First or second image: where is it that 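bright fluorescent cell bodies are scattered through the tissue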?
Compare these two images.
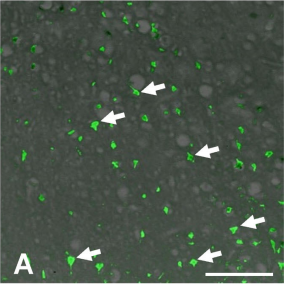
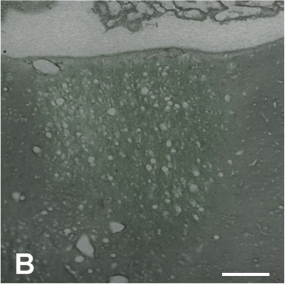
the first image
